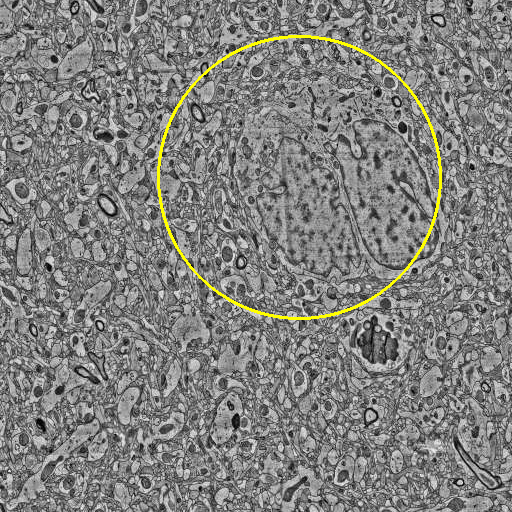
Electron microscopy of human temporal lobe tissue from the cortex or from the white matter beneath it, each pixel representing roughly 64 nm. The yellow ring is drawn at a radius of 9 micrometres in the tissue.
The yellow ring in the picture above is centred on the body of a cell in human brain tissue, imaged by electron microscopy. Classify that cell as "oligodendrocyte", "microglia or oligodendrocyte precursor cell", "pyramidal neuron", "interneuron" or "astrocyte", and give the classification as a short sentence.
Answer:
The cell in the middle of the ring is an interneuron.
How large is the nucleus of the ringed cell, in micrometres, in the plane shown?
Roughly 9 by 6 micrometres is the size of the nucleus in this plane.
